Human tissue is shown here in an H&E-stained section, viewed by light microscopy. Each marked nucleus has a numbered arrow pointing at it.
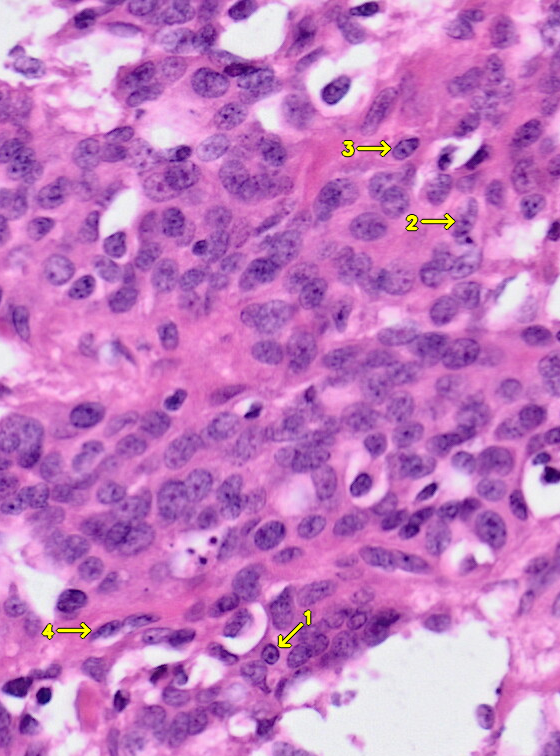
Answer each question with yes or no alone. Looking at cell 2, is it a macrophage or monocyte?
yes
